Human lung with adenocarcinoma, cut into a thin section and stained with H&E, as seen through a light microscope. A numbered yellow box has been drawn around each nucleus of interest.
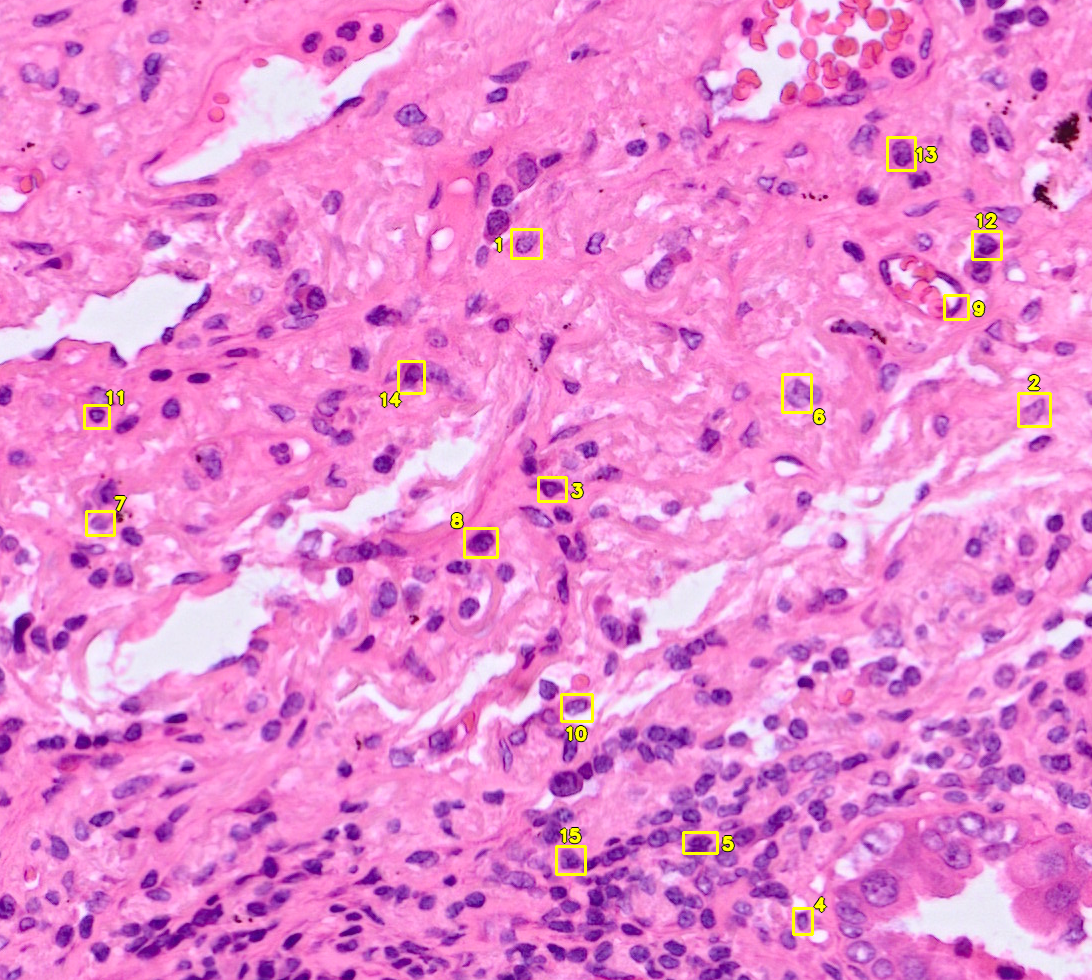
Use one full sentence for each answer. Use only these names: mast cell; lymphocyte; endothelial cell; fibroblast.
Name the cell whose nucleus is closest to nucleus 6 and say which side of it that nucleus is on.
Just to the right of nucleus 6 lies the nearest nucleus, which belongs to a mast cell.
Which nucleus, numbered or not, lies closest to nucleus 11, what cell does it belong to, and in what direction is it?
It is a fibroblast, whose nucleus lies above nucleus 11.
